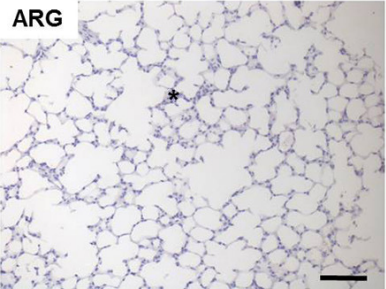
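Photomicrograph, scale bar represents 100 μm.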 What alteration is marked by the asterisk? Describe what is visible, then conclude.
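Collapsed alveoli. The asterisk lies in an area where septa are crowded together with little open air space. Surrounding alveoli are open with thin walls.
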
